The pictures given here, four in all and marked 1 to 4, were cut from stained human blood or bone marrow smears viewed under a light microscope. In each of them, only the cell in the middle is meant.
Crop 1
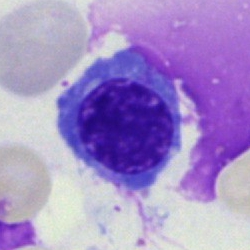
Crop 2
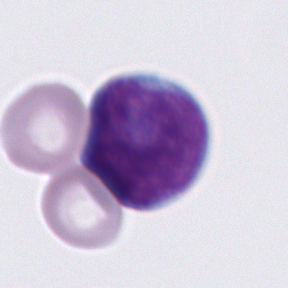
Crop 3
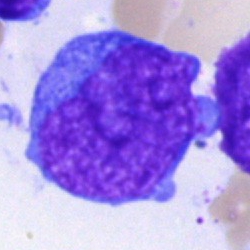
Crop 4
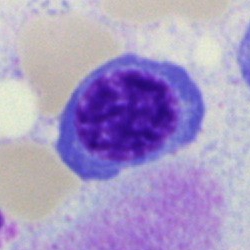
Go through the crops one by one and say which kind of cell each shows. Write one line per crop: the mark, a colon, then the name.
1: normoblast
2: blast
3: blast
4: normoblast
